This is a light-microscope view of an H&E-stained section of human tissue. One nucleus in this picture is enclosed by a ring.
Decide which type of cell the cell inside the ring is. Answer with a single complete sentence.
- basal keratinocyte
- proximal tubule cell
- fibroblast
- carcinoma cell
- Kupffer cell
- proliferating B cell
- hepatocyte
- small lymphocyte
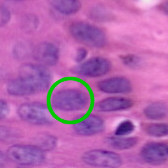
This is a basal keratinocyte.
